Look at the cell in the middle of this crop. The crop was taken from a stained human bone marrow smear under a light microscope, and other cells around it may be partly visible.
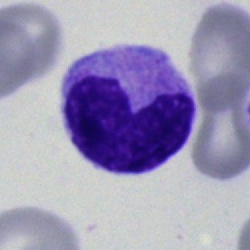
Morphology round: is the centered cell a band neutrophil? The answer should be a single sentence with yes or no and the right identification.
No, wrong label: the middle cell is a metamyelocyte instead of a band neutrophil.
